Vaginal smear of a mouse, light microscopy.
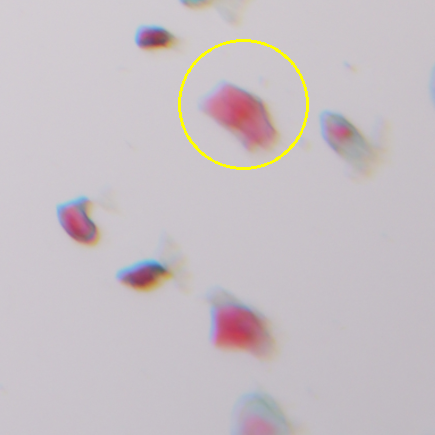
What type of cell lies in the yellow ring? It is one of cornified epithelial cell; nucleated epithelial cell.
The ringed cell is a cornified epithelial cell.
